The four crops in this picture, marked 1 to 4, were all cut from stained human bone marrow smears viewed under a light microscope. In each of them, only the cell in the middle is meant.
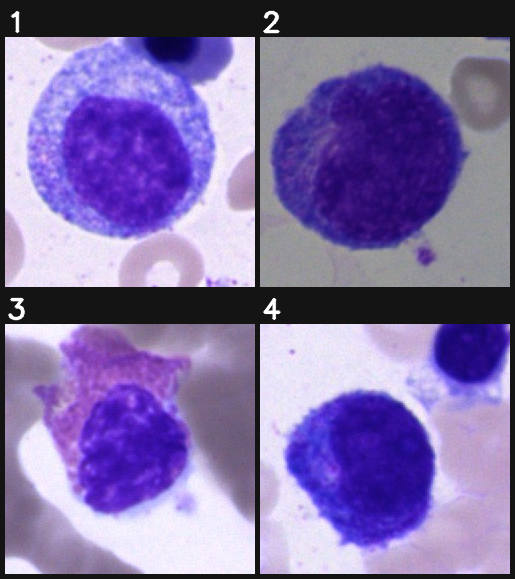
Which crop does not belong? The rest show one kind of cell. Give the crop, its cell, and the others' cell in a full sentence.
The single exception among the crops is crop 3, which is an eosinophil; the rest show promyelocytes.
